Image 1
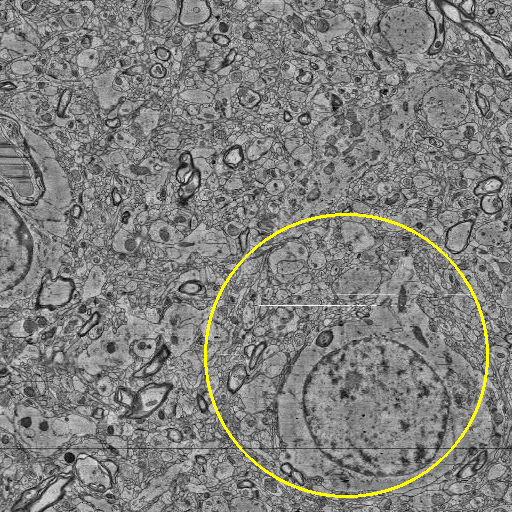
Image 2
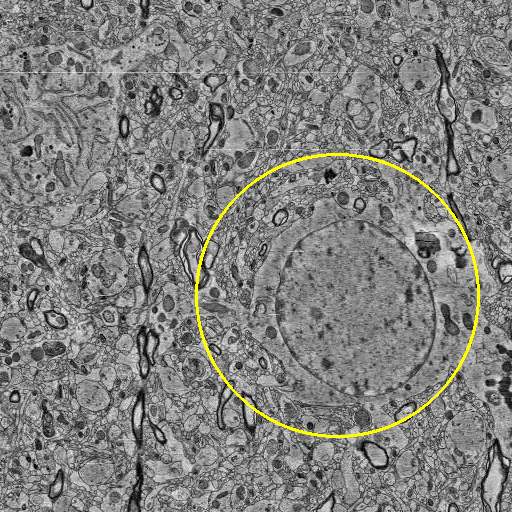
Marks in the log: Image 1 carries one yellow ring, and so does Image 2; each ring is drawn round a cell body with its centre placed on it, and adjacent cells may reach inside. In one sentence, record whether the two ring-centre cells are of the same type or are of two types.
The two cells at the ring centres, one in each image, are of the same type.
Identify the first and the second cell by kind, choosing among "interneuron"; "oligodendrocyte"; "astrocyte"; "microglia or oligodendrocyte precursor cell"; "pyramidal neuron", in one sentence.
The cell in the first picture is an astrocyte, and so is the one in the second.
